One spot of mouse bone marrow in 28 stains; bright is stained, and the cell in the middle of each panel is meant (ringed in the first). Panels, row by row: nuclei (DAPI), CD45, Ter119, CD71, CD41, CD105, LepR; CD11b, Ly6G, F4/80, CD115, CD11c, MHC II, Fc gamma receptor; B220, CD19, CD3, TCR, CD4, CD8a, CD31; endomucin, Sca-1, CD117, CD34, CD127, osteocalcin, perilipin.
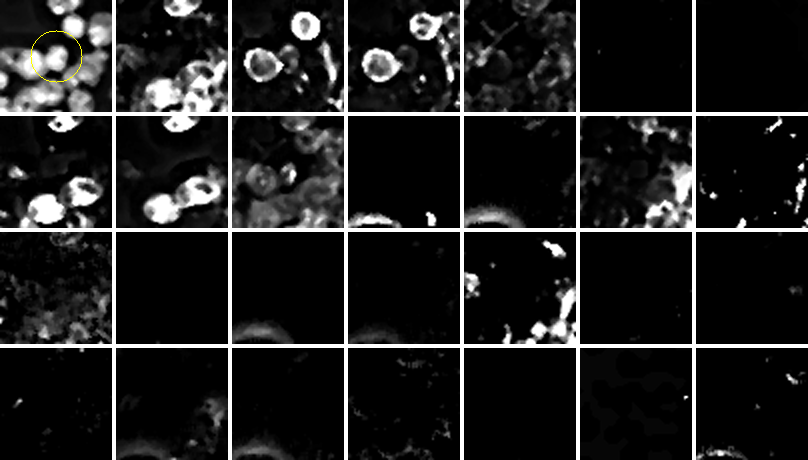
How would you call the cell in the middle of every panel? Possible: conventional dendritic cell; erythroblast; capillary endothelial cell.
I would call it an erythroblast.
